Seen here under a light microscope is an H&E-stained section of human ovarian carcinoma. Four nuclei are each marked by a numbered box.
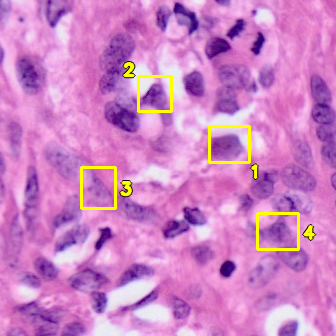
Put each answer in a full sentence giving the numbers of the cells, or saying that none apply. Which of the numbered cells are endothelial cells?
Being an endothelial cell is true of cell 3 and of no other numbered cell.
